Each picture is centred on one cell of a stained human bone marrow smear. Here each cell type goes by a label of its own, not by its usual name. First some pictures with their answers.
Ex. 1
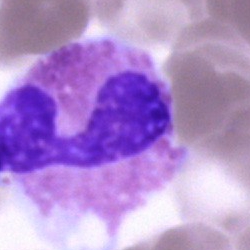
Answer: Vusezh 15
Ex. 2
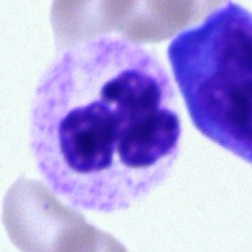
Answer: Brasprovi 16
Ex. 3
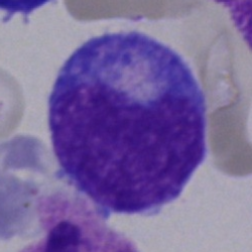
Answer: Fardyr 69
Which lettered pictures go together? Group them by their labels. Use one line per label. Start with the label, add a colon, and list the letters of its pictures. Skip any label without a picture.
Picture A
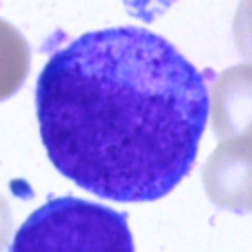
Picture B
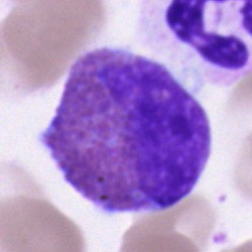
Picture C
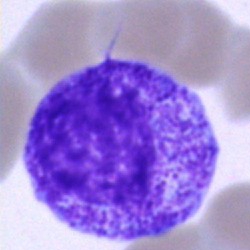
Vusezh 15: B
Fardyr 69: A, C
